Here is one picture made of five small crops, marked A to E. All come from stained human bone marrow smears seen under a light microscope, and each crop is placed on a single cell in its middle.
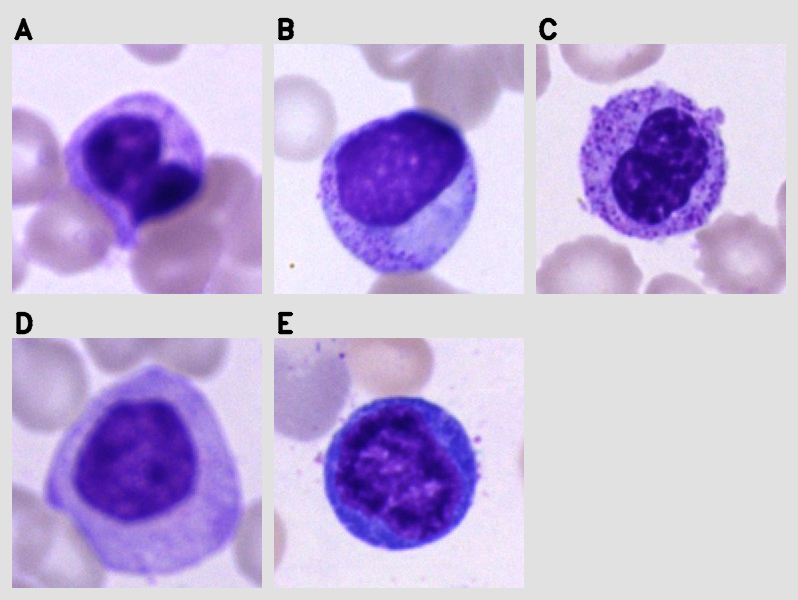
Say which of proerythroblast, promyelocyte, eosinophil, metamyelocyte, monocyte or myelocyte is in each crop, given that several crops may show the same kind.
A: metamyelocyte
B: myelocyte
C: metamyelocyte
D: metamyelocyte
E: proerythroblast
